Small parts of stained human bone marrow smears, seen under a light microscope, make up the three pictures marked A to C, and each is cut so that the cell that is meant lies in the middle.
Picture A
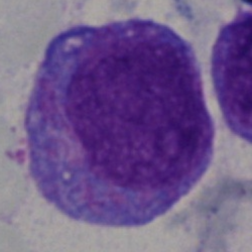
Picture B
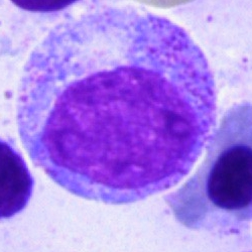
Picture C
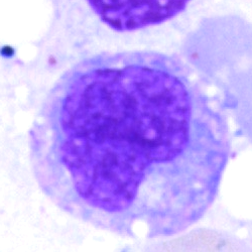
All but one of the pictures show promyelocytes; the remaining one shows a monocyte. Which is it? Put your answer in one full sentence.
Picture C is the one that shows the monocyte.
